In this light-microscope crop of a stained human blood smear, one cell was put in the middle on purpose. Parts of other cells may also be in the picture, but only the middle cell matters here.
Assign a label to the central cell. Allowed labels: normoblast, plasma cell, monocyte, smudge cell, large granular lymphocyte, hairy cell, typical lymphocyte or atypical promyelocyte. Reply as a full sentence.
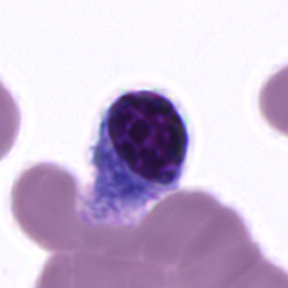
This crop's central cell is a plasma cell.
